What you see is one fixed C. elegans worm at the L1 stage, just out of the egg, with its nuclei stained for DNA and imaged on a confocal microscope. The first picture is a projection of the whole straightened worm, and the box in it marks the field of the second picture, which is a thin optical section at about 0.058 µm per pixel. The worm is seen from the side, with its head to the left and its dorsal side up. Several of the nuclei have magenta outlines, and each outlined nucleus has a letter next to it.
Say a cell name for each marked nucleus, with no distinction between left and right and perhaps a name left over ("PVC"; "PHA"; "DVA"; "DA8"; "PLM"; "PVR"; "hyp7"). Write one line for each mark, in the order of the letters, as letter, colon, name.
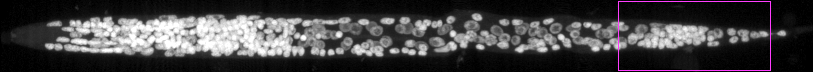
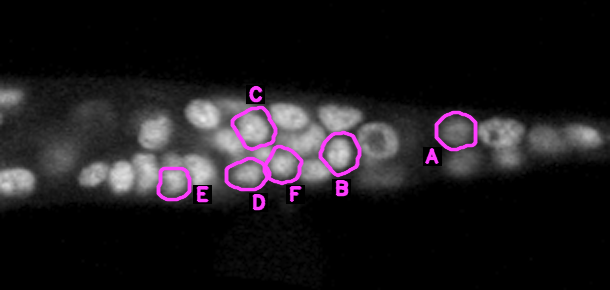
A: PVR
B: PLM
C: DVA
D: PHA
E: DA8
F: PVC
